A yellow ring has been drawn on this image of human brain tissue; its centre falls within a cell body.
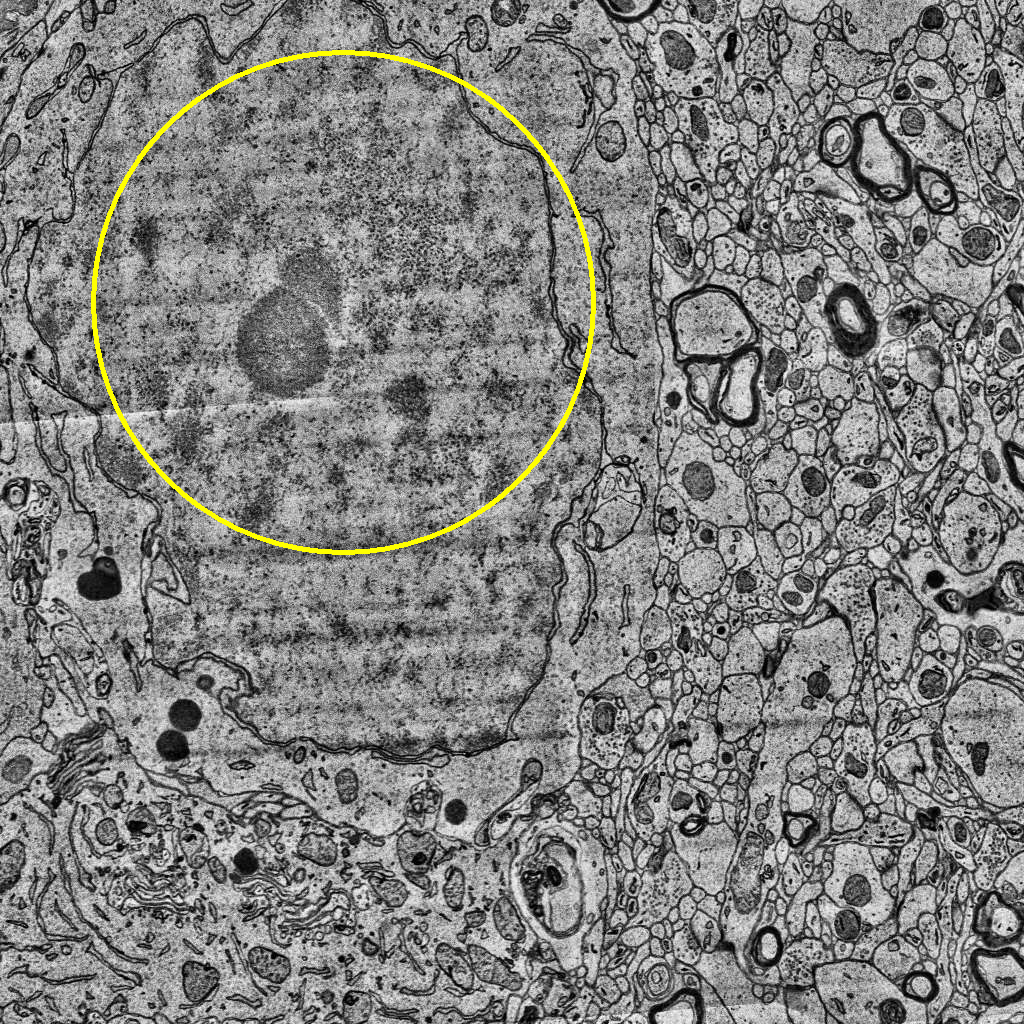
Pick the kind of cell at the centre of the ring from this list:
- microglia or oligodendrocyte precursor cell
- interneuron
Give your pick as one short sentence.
The centre of the ring holds an interneuron.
